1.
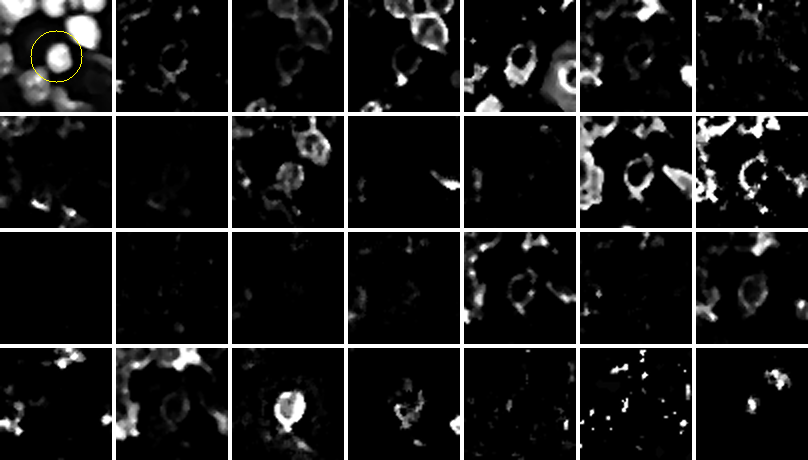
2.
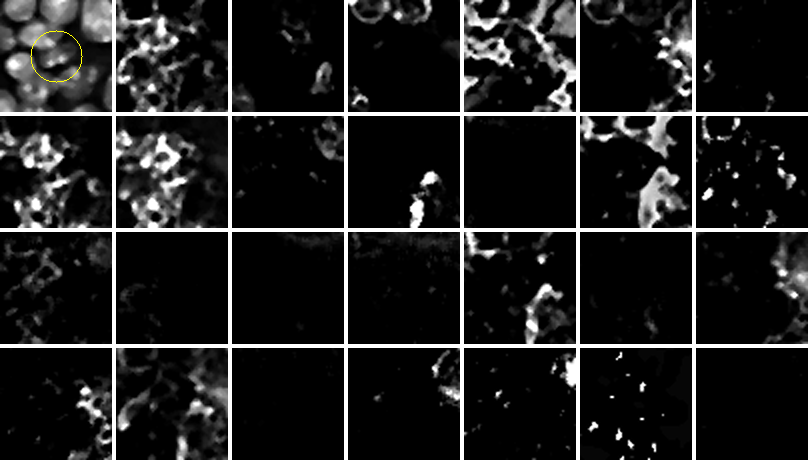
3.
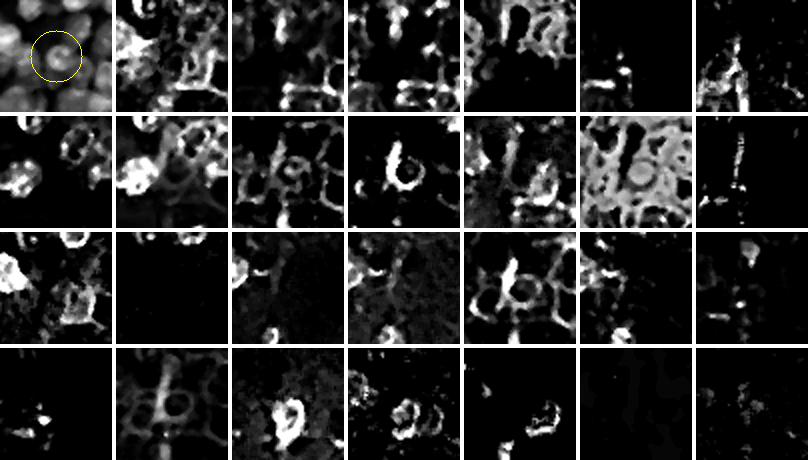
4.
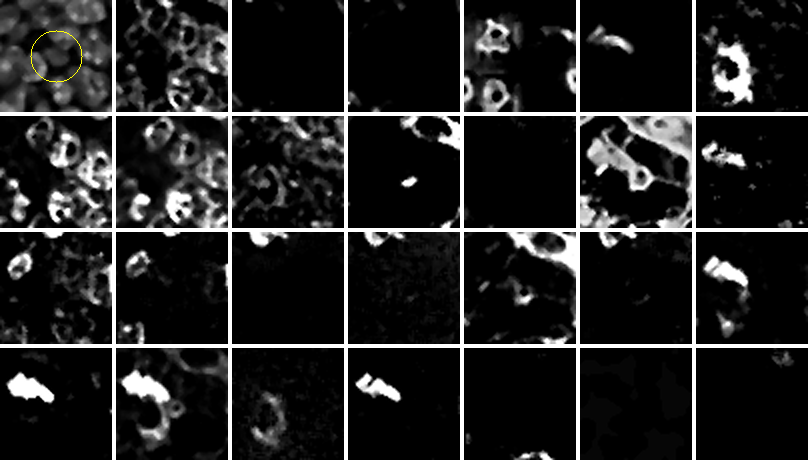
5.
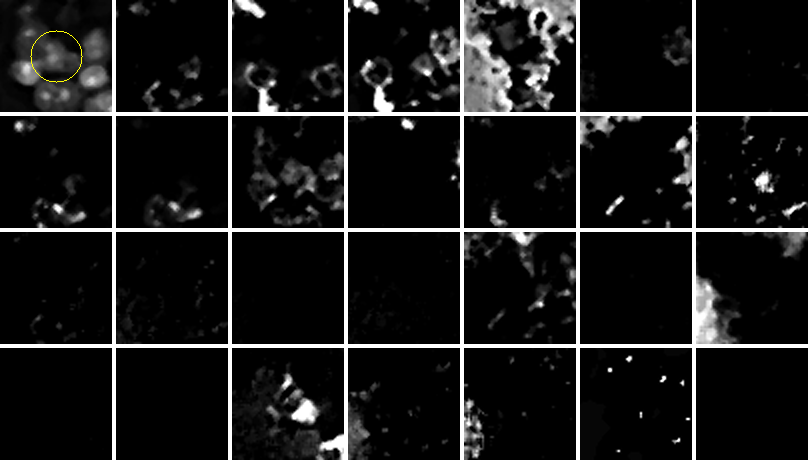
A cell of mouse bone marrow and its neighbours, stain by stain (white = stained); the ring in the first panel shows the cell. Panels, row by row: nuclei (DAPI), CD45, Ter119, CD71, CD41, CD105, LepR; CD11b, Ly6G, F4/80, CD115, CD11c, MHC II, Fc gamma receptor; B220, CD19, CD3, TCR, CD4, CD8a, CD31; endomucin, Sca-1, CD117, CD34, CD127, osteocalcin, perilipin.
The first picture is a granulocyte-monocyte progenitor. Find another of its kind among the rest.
Picture 5.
